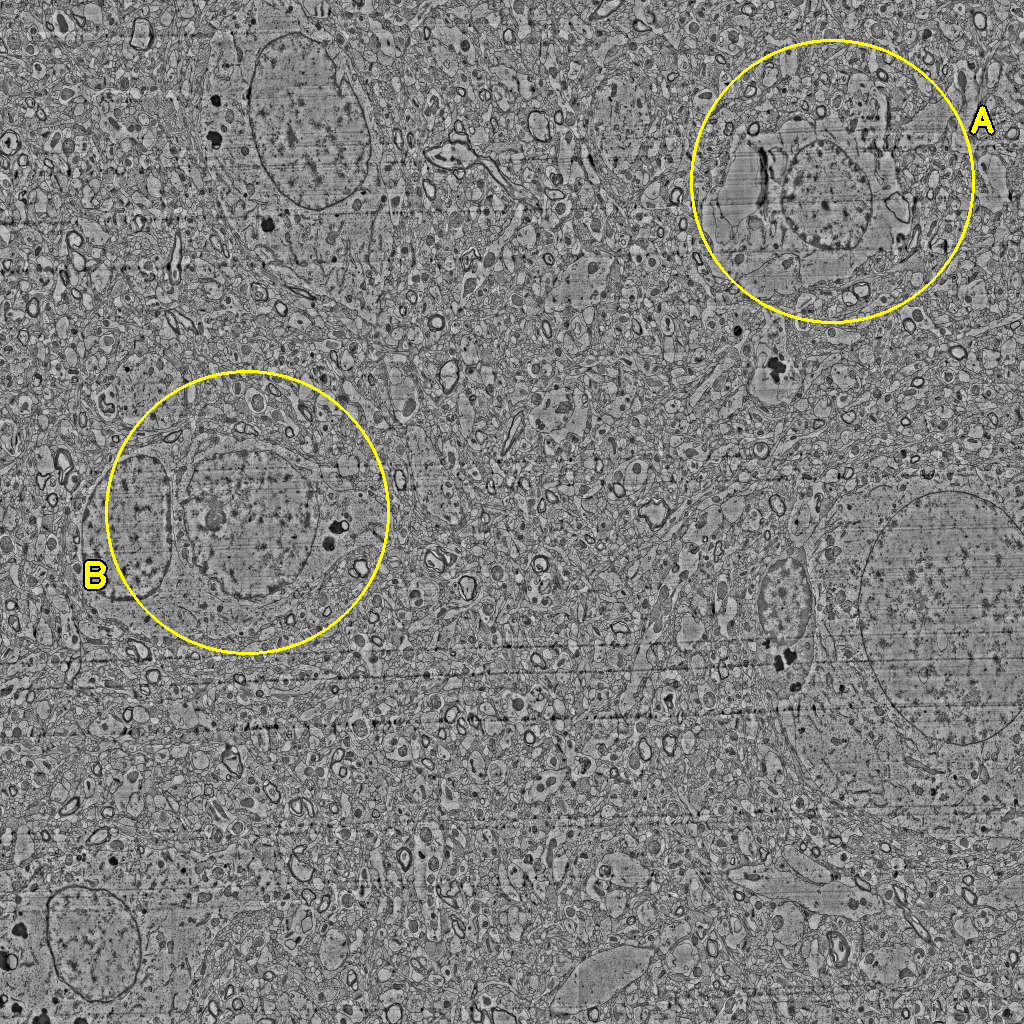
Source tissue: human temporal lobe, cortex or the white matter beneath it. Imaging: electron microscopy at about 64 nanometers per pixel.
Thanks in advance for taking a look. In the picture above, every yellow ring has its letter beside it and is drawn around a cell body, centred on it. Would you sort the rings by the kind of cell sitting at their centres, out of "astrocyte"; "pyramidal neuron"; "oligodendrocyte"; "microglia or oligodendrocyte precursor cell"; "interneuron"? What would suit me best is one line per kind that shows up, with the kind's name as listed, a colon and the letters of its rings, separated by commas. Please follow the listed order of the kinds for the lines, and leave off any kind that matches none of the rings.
astrocyte: A
interneuron: B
